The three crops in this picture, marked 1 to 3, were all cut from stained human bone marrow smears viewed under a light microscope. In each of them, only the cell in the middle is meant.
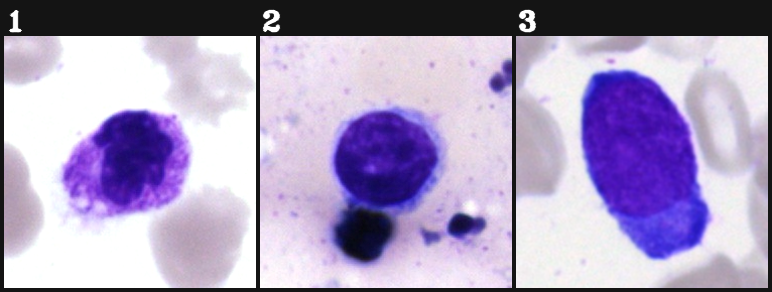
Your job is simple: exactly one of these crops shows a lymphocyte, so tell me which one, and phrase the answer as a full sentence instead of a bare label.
Of these crops, it is crop 2 that shows a lymphocyte.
